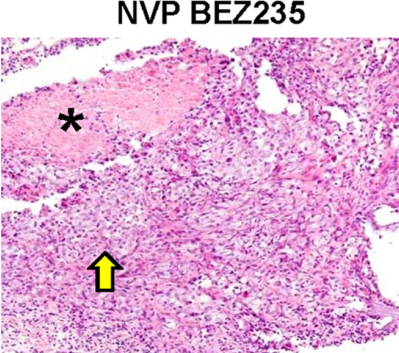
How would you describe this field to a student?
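This tumor mass shows a pink area of necrosis beside still cellular tumor tissue. The necrotic area in the upper part is homogeneous pink with hardly any nuclei. Below it, the tumoral cells lie in a fairly cellular field with purple nuclei and pale cytoplasm, mixed with spindle-shaped elements. Irregular empty spaces open up toward the right side.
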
